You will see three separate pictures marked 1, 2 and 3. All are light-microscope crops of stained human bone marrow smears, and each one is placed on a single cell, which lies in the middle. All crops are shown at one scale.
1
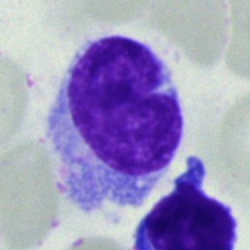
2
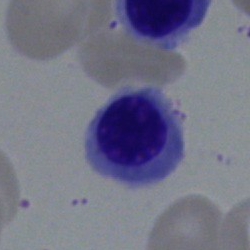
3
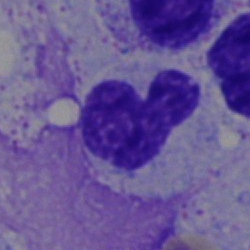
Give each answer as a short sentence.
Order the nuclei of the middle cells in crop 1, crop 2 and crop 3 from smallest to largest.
Smallest first: 2, 3, 1.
